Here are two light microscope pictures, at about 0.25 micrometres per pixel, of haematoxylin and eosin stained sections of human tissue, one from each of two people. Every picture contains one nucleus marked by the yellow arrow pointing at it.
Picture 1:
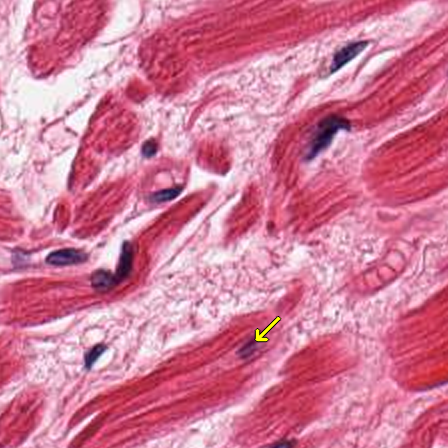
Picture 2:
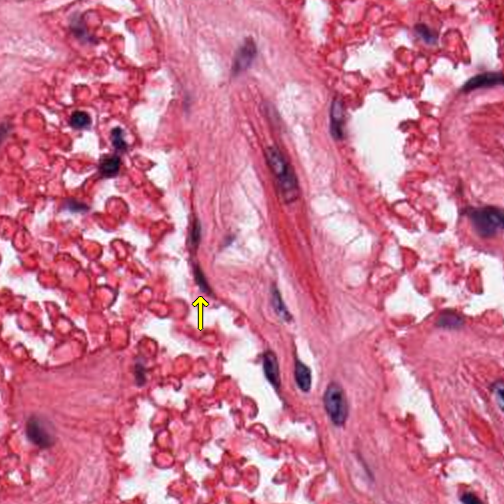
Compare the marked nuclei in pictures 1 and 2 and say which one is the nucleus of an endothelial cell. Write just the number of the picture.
2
